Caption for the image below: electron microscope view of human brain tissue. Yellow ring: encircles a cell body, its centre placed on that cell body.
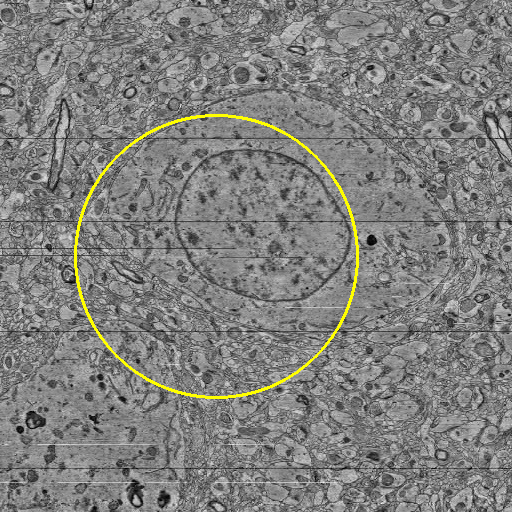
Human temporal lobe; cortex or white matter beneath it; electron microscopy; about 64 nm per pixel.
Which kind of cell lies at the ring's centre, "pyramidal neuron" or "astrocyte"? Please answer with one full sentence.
The picture shows a pyramidal neuron at the centre of the yellow ring.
